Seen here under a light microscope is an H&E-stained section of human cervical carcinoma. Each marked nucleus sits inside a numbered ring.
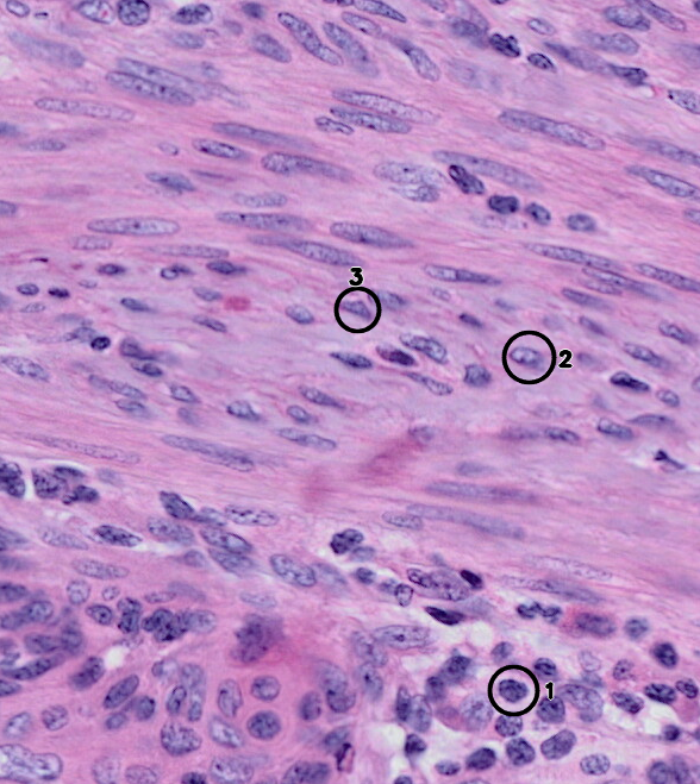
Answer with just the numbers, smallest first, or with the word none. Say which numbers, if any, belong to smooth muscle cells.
2, 3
